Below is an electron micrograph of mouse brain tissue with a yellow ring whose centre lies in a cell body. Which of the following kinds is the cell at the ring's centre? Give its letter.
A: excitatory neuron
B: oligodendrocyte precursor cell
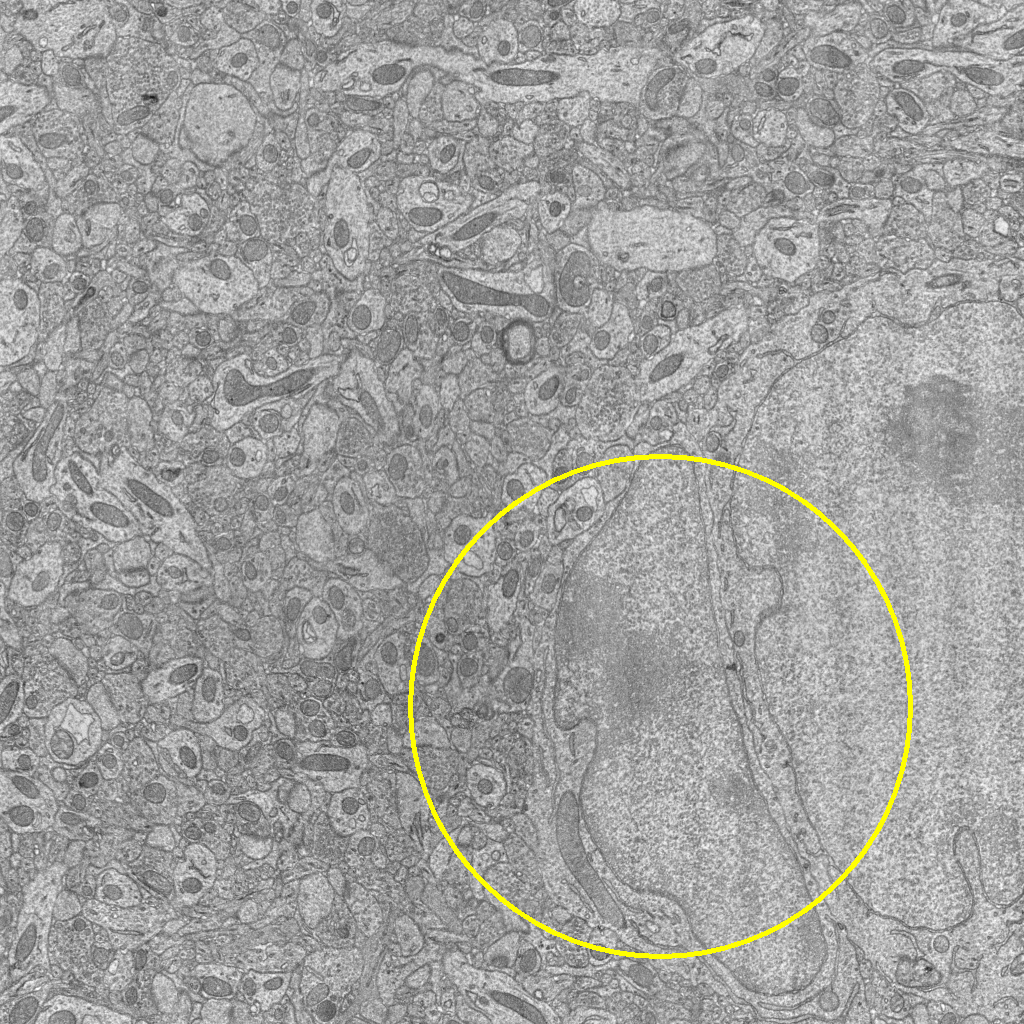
B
